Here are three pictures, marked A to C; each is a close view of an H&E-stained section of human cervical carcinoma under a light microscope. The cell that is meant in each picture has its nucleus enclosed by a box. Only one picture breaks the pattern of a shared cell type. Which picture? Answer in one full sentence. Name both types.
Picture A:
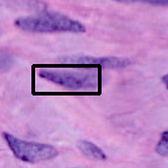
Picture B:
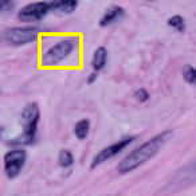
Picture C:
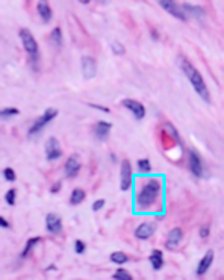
All pictures except A show smooth muscle cells; picture A shows a fibroblast.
